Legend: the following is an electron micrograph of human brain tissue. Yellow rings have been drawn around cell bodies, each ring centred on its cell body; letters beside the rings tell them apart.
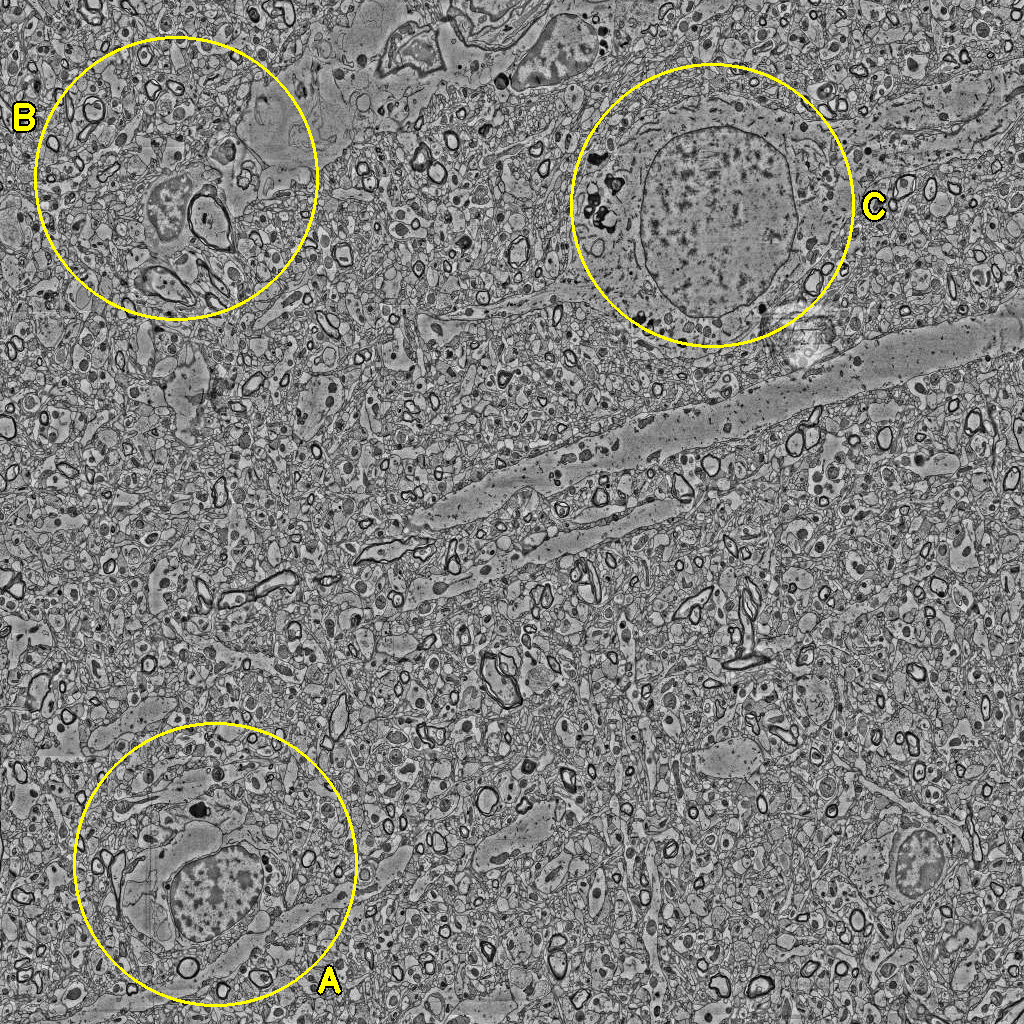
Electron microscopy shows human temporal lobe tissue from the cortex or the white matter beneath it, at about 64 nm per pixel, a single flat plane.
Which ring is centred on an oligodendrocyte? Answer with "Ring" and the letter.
Ring B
